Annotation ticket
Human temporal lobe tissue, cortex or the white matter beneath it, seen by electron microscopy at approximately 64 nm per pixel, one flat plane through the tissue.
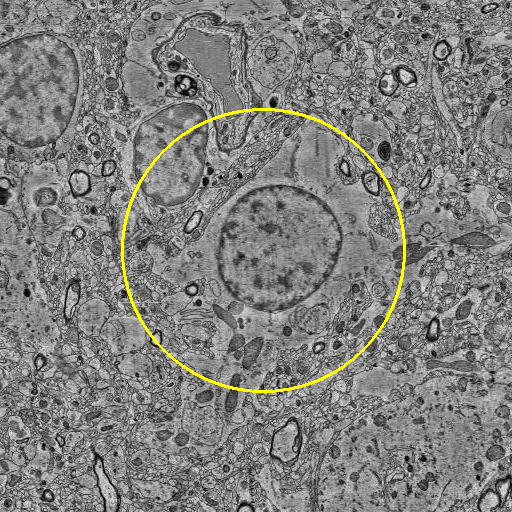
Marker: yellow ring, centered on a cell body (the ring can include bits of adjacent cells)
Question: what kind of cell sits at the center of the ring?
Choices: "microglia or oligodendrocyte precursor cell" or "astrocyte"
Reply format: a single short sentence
The ring is centered on an astrocyte.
